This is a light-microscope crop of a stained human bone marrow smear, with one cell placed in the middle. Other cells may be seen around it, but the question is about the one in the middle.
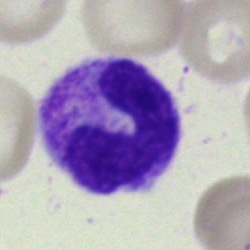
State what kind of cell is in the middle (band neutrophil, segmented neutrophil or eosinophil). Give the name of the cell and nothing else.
band neutrophil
